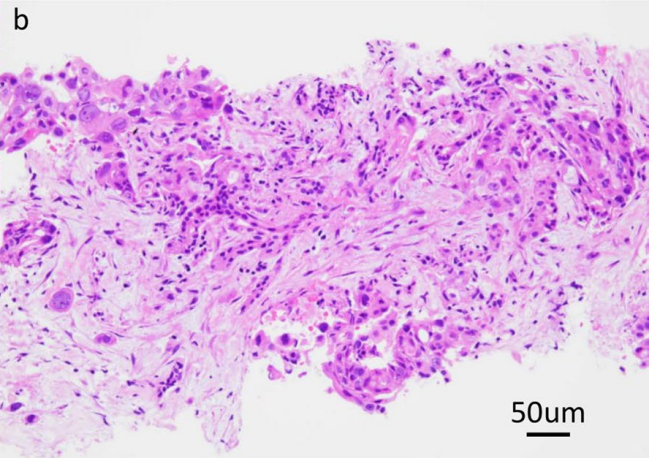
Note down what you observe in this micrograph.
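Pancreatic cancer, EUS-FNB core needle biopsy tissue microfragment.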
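Malignant epithelial cells form irregular, angulated gland-like clusters and small cords scattered through a pale pink, loose fibrous stroma with spindle-shaped cells. The tumour cells have enlarged, variably sized, dark purple nuclei, some with visible nucleoli, and moderate pink cytoplasm; a few cells at the upper left are especially large. Small, dark, round inflammatory cells gather in streaks between the tumour clusters. The glands are poorly formed but still recognisable, in keeping with a moderately differentiated tumour.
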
